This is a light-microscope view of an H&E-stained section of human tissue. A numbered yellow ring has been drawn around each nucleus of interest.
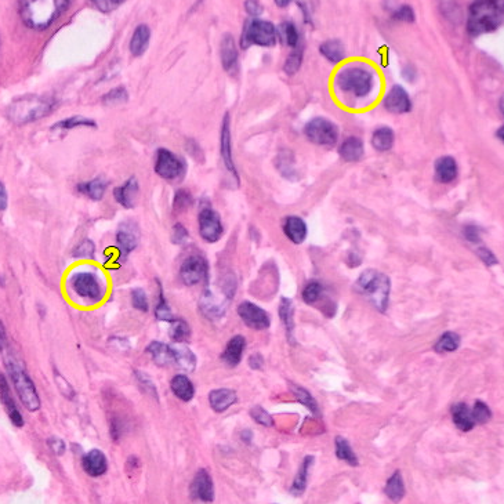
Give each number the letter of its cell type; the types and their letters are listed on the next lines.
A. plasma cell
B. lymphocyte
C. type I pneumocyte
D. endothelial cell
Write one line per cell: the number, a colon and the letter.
1: B
2: A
